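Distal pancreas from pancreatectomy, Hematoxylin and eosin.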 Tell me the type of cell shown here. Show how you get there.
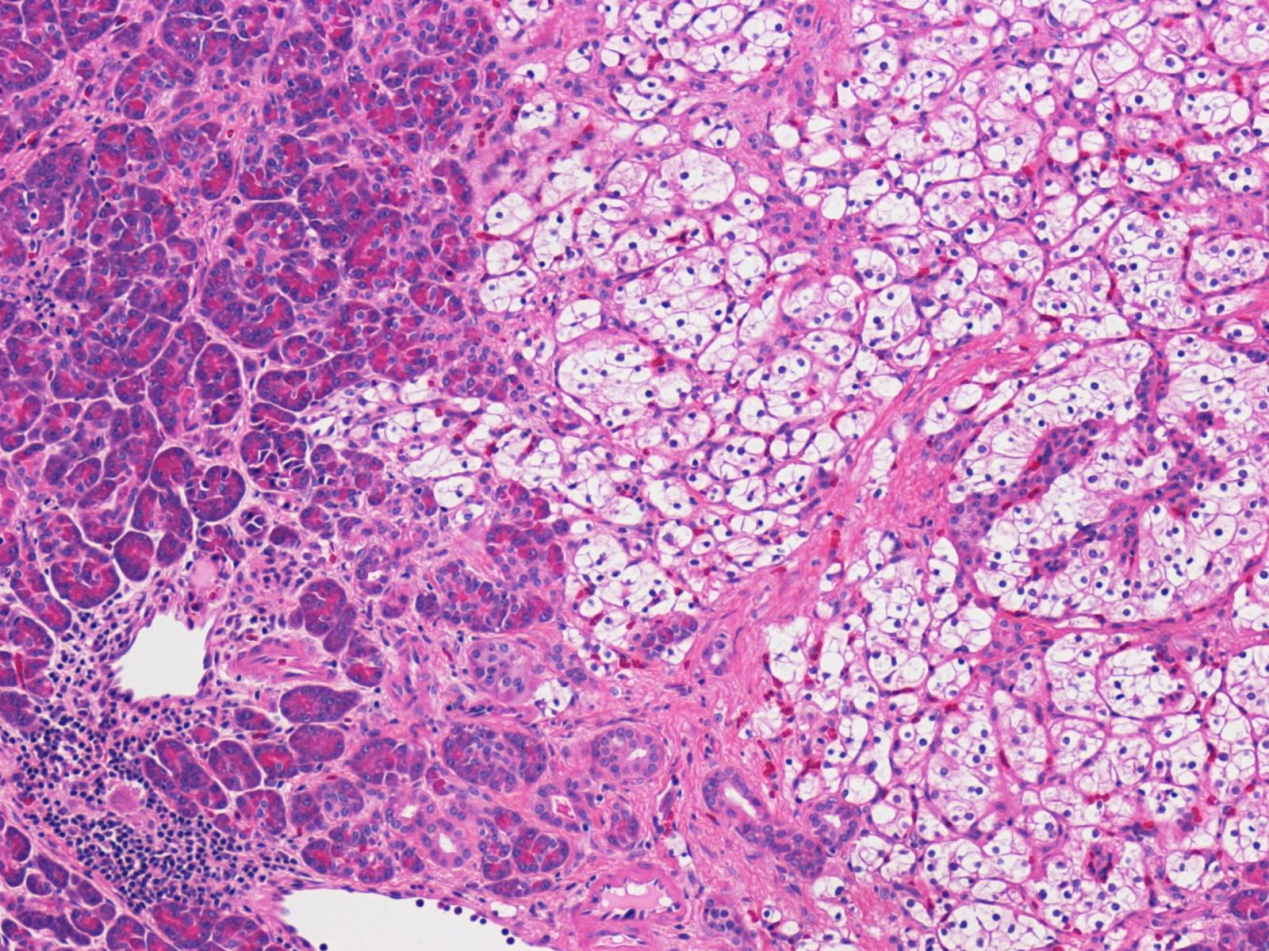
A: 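The cells on the right have pale, nearly unstained cytoplasm. Each cell is bounded by a thin, sharp pink border. The cells lie packed together in nests. On this evidence: epithelial cells with clear cytoplasm and a well-defined cell membrane.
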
